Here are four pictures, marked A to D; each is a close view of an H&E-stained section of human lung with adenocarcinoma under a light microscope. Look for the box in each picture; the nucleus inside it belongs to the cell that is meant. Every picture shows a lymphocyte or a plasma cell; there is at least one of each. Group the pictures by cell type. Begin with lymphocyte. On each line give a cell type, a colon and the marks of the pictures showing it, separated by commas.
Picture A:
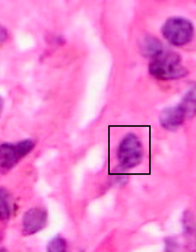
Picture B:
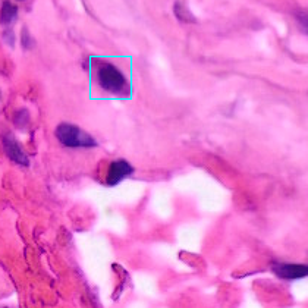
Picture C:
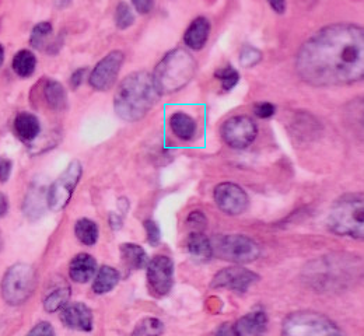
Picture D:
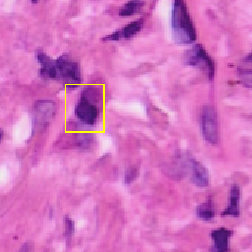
lymphocyte: A, C
plasma cell: B, D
